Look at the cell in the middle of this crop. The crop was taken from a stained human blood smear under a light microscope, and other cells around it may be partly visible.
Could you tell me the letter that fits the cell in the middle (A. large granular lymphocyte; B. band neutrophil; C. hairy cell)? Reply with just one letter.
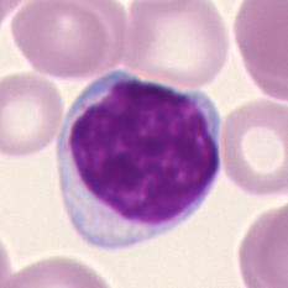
A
